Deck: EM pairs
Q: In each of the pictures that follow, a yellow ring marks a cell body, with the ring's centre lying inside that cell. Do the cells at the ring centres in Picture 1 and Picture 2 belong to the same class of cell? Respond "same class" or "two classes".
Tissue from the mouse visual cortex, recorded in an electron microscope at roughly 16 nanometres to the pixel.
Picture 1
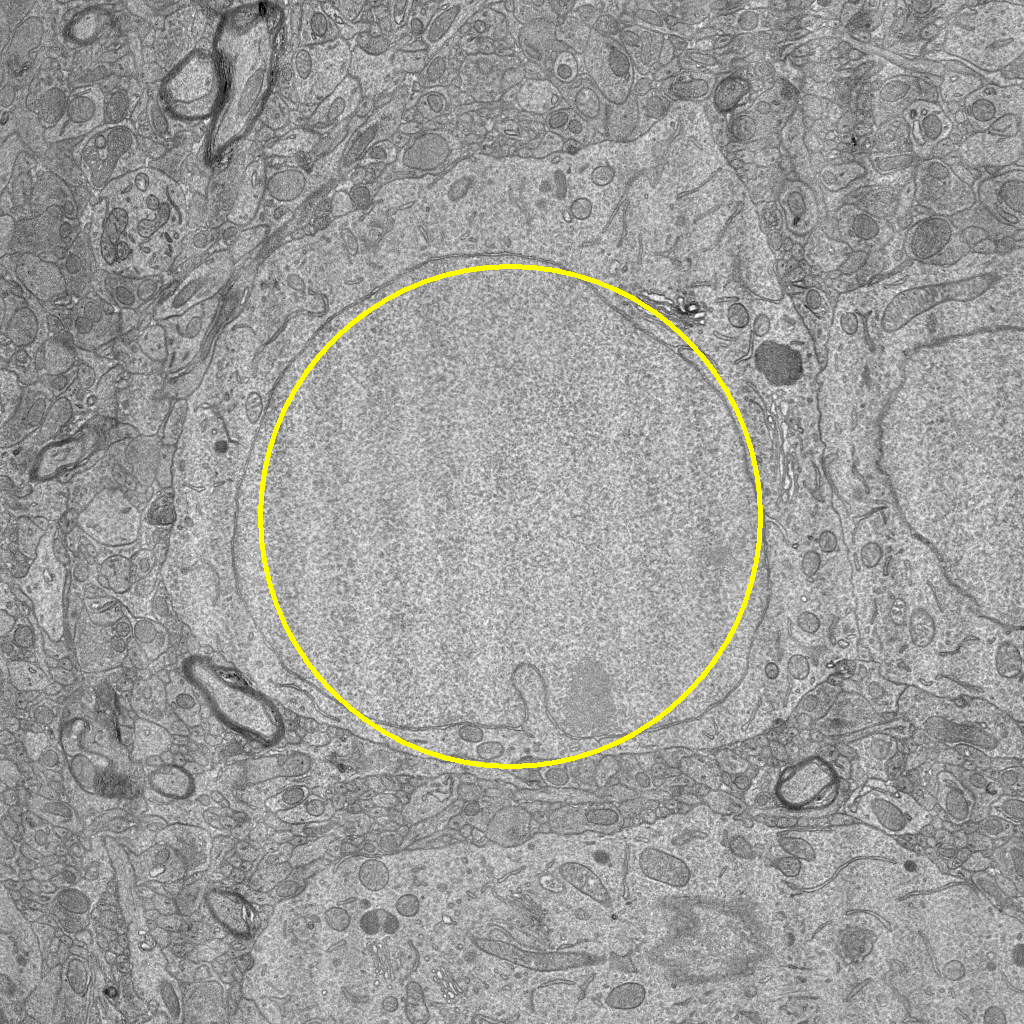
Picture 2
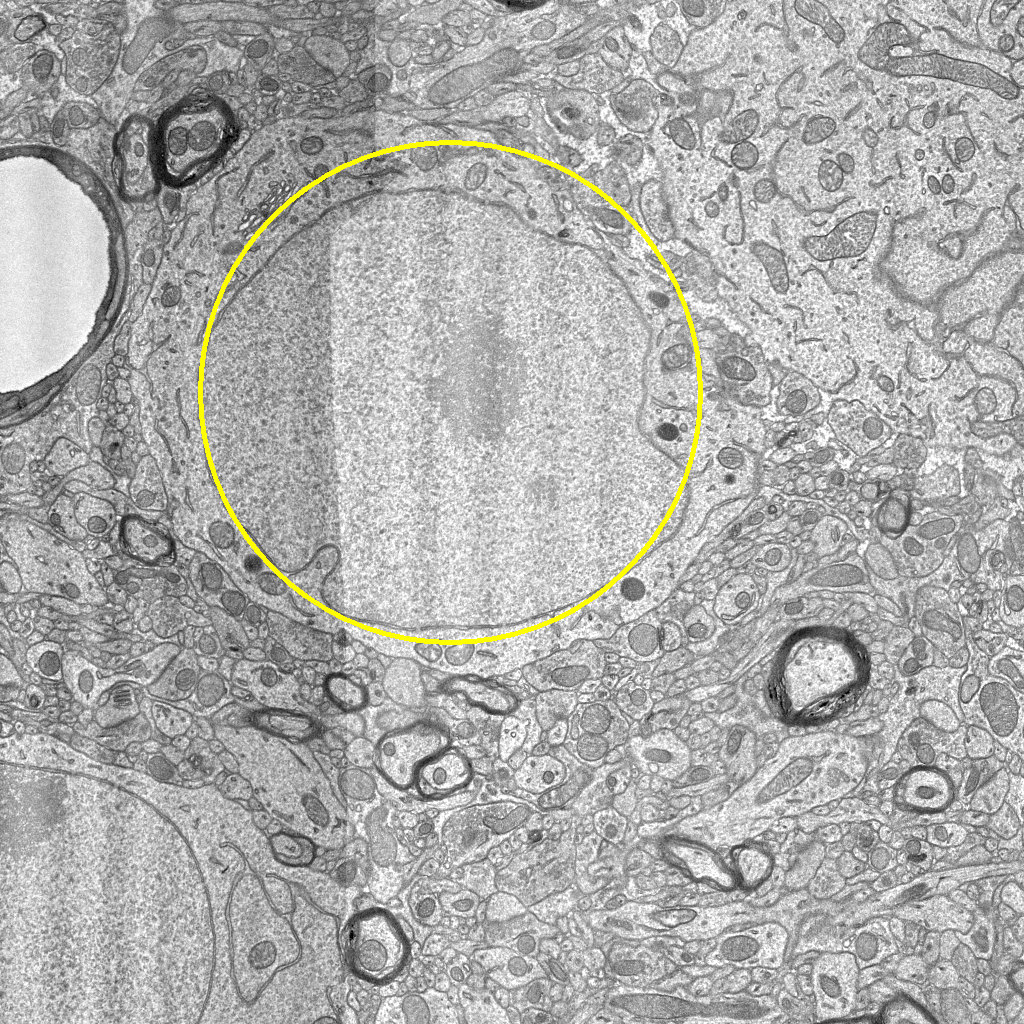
same class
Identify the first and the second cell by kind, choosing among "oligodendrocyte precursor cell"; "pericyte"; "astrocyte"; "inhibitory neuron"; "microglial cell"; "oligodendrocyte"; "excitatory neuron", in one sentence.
Both cells are the same kind, each one being an excitatory neuron.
